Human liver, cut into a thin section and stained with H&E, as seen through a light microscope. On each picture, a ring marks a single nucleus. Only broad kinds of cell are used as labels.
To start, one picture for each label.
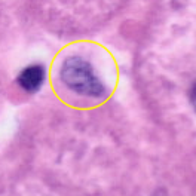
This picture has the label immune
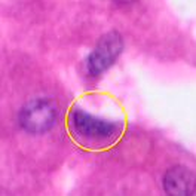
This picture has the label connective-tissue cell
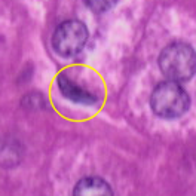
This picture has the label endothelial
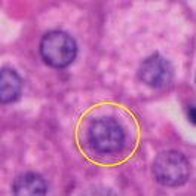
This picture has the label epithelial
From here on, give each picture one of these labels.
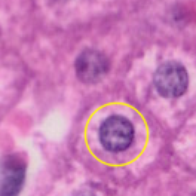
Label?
epithelial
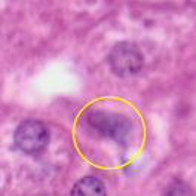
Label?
immune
